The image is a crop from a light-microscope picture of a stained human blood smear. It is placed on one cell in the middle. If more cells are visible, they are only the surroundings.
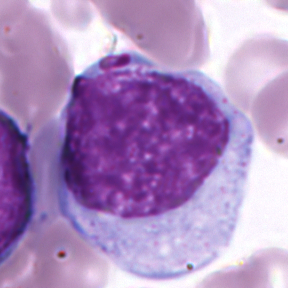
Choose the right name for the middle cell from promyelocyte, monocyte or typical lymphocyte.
promyelocyte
